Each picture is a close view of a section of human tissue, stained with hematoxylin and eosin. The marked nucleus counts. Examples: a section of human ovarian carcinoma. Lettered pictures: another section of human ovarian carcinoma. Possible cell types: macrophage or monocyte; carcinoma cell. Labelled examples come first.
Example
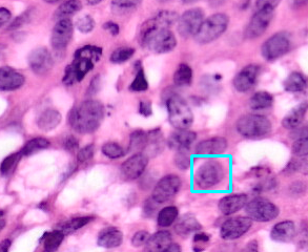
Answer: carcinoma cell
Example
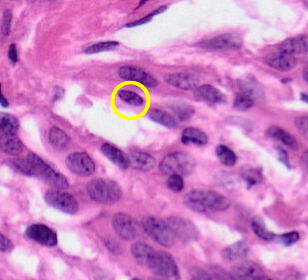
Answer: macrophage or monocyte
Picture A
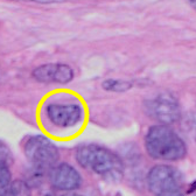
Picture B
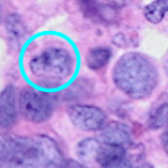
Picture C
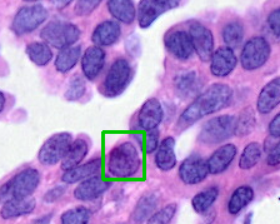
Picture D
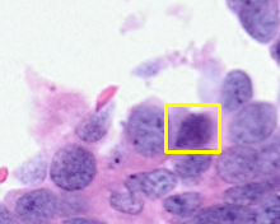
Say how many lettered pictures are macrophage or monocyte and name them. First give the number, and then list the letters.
2, namely A, B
